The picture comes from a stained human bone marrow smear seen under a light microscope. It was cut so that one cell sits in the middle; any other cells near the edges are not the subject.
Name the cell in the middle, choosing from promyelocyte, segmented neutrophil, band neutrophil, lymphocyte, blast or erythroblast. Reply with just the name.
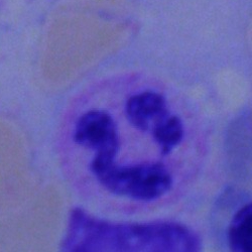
segmented neutrophil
